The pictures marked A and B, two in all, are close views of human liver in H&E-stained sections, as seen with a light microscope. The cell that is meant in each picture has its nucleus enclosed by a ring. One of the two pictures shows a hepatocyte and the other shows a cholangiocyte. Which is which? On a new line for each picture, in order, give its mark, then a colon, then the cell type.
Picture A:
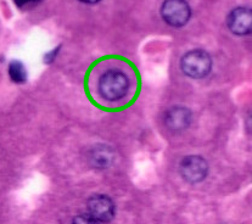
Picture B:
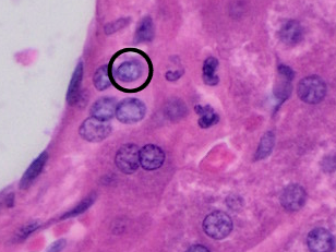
A: hepatocyte
B: cholangiocyte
